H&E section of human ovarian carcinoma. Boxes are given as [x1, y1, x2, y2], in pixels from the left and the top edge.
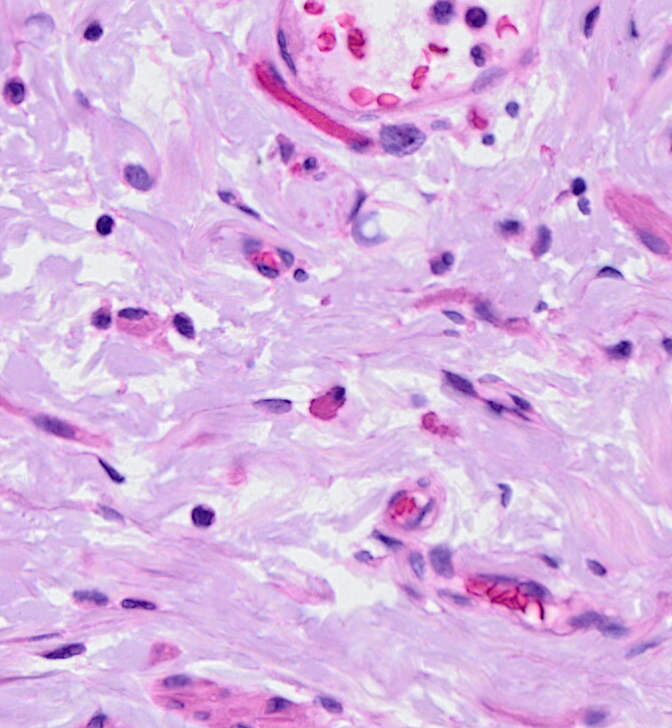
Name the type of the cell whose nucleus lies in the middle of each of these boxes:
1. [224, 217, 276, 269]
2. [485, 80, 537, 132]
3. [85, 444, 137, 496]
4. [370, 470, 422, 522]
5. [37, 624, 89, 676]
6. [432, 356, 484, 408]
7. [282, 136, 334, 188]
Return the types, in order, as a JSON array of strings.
["endothelial cell", "lymphocyte", "fibroblast", "endothelial cell", "fibroblast", "fibroblast", "endothelial cell"]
